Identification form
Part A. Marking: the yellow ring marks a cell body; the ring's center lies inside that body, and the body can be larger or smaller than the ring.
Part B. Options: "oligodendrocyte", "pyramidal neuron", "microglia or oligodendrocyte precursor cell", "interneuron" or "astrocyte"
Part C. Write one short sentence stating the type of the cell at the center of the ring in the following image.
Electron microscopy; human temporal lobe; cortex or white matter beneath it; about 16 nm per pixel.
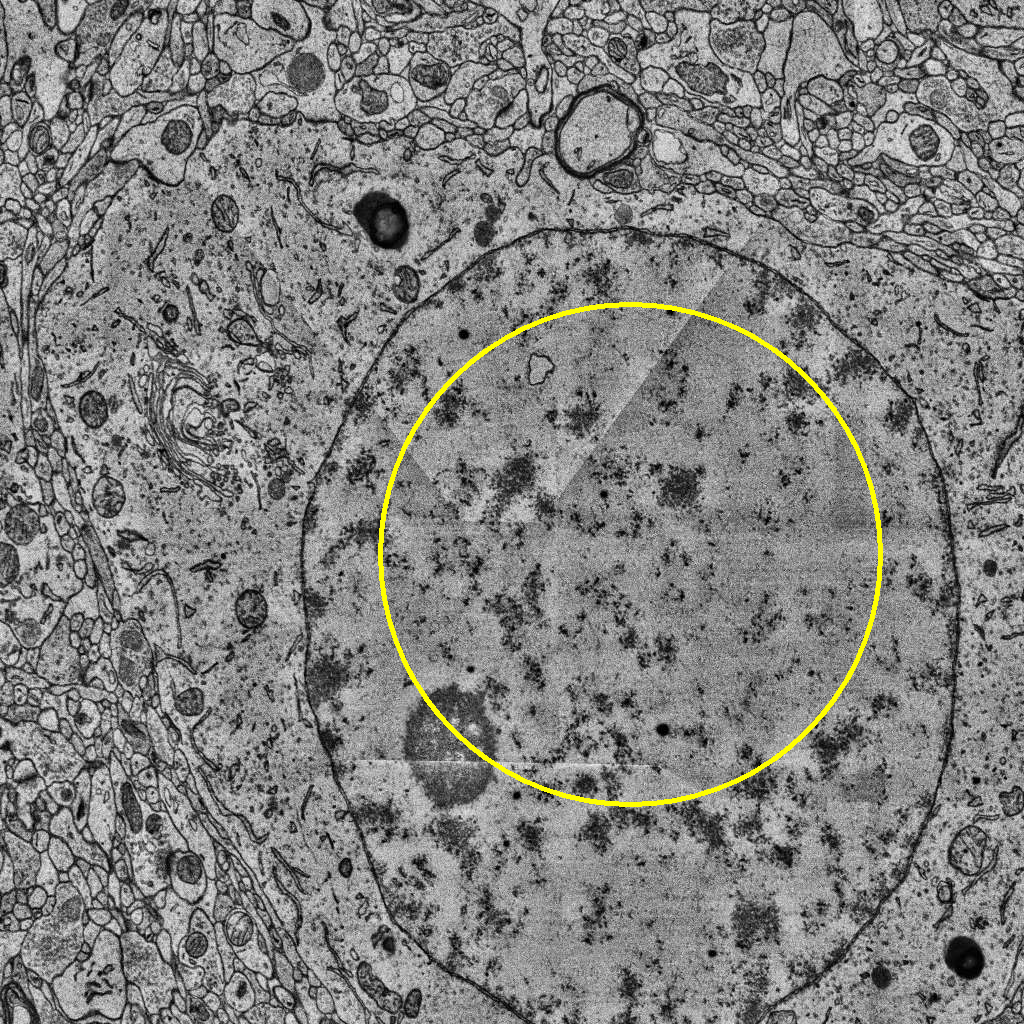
The center of the ring holds a pyramidal neuron.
